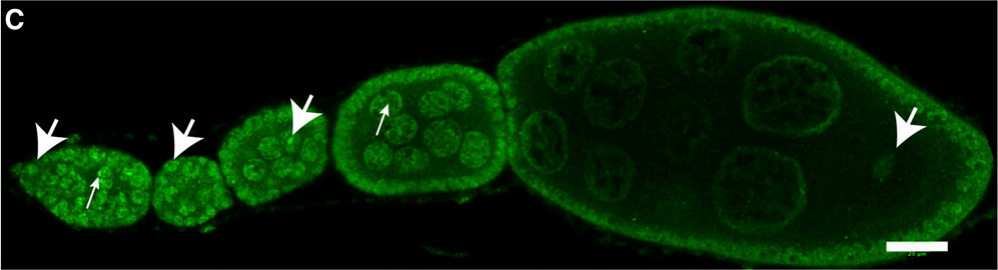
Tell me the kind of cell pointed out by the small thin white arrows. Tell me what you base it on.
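Nurse cells. The small arrows point into large round nuclei inside the chambers. These nuclei are much larger than those of the small cells at the chamber surface. Bright dots lie inside these large nuclei.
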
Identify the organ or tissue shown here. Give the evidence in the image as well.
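Ovaries. A chain of rounded chambers of increasing size lies end to end. Each chamber holds a cluster of large round nuclei surrounded by a rim of small cells.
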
